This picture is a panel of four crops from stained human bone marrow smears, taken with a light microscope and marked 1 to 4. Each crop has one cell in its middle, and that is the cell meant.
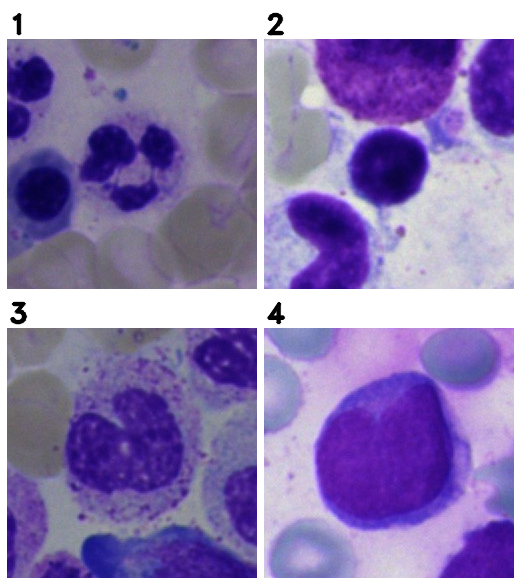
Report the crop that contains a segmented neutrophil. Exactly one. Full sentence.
On review of the set, crop 1 is the one showing a segmented neutrophil.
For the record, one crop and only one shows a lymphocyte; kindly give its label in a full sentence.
Crop 2 alone, of all the crops, shows a lymphocyte.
